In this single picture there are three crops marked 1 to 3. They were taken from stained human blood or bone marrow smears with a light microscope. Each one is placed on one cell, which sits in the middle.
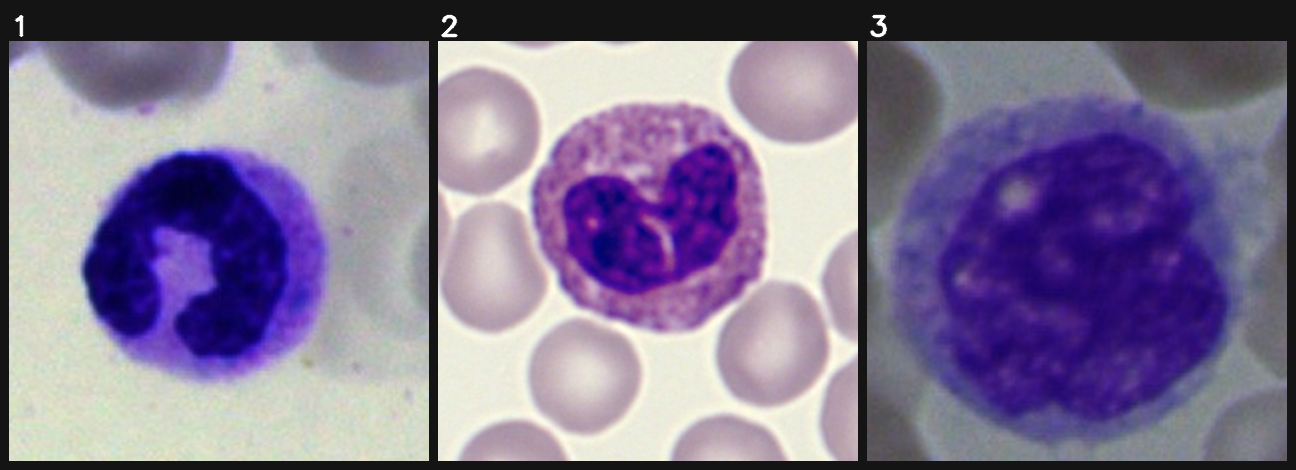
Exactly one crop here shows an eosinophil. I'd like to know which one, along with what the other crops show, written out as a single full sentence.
In the case of crop 2, the cell is an eosinophil, while crop 1 is a neutrophil and crop 3 is a monocyte.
